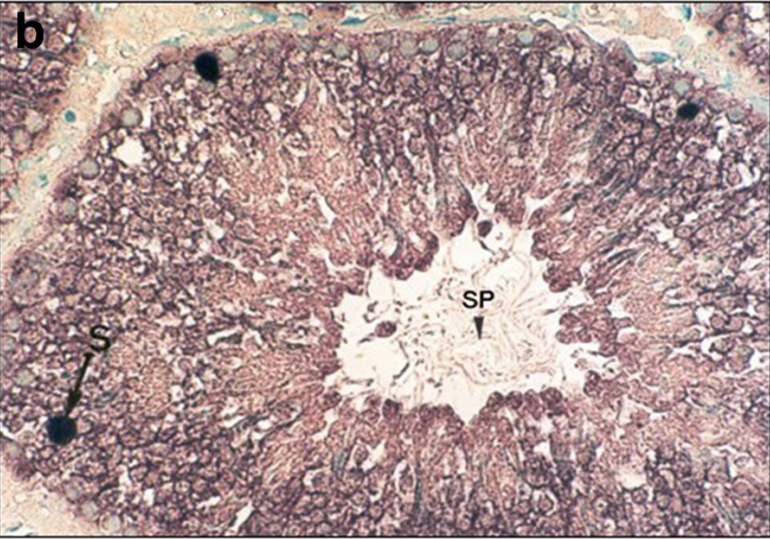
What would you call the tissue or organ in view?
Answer: Seminiferous tubule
